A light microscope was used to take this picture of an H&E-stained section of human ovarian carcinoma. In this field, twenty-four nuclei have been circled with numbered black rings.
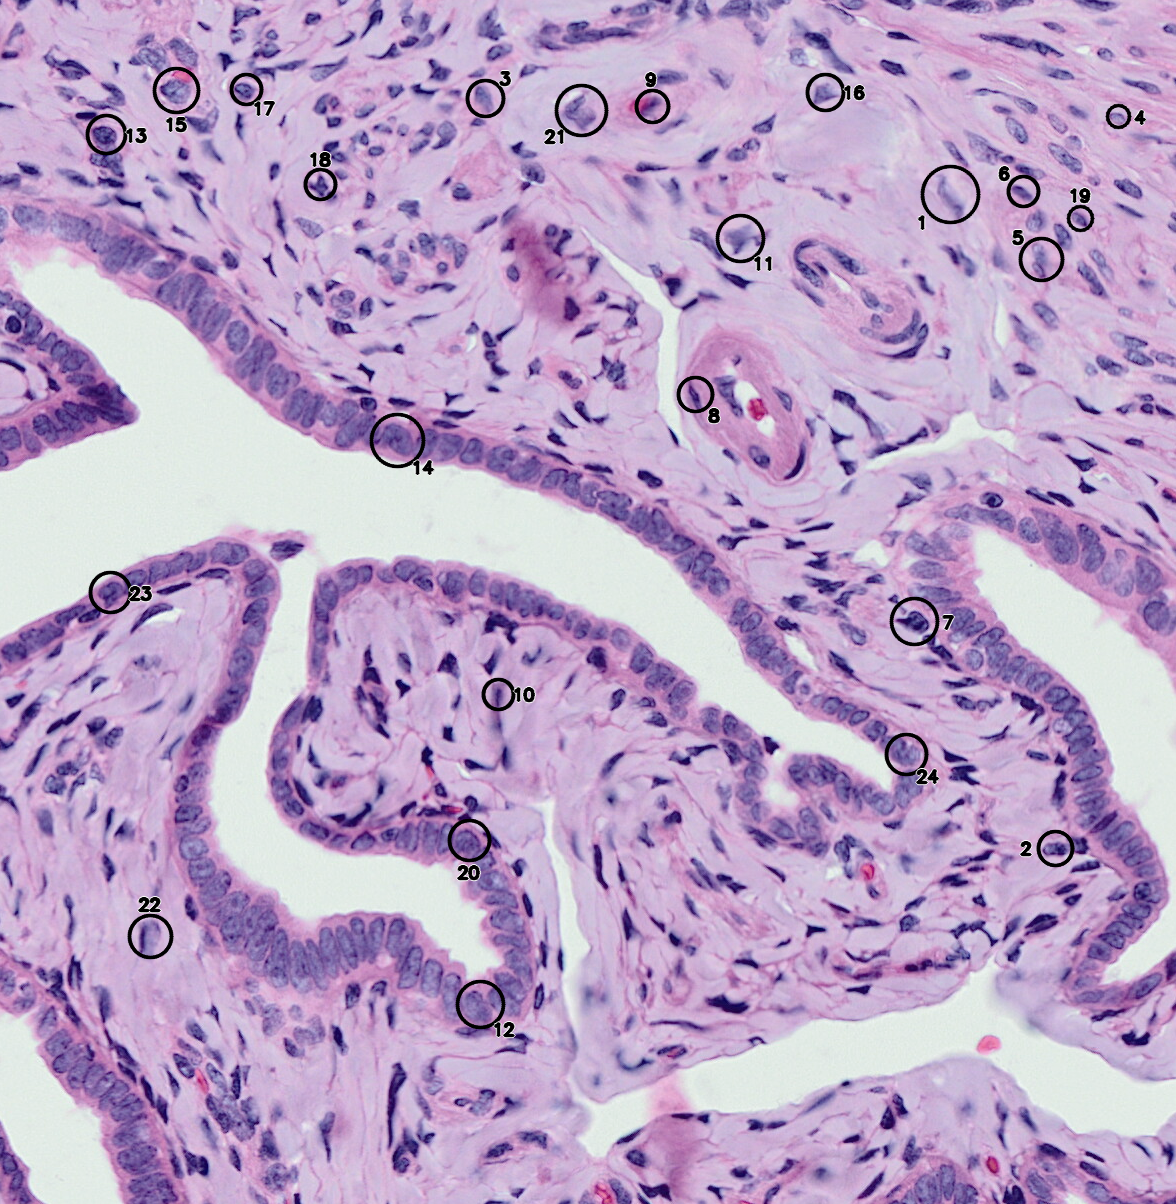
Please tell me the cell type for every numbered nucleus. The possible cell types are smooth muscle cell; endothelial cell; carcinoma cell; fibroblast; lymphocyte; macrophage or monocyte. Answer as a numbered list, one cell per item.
1. fibroblast
2. lymphocyte
3. smooth muscle cell
4. smooth muscle cell
5. smooth muscle cell
6. smooth muscle cell
7. lymphocyte
8. smooth muscle cell
9. endothelial cell
10. endothelial cell
11. fibroblast
12. carcinoma cell
13. endothelial cell
14. carcinoma cell
15. endothelial cell
16. fibroblast
17. endothelial cell
18. smooth muscle cell
19. smooth muscle cell
20. carcinoma cell
21. fibroblast
22. fibroblast
23. carcinoma cell
24. carcinoma cell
